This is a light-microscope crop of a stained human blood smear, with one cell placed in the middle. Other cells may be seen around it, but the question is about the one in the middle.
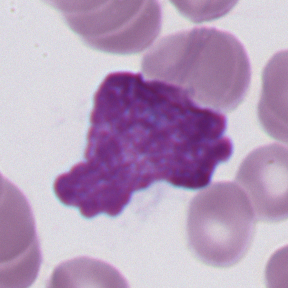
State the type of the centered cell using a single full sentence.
Positioned in the middle of the crop is a smudge cell.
